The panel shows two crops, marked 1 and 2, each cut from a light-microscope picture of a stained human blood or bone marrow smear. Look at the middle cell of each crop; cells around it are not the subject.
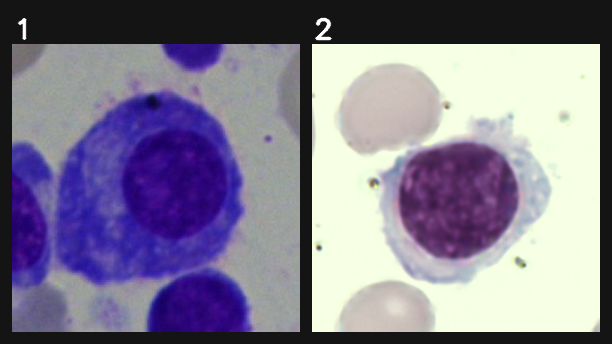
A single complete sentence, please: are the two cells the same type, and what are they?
Yes, the two central cells, one per crop, are plasma cells.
